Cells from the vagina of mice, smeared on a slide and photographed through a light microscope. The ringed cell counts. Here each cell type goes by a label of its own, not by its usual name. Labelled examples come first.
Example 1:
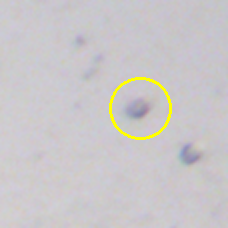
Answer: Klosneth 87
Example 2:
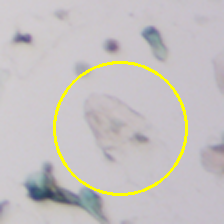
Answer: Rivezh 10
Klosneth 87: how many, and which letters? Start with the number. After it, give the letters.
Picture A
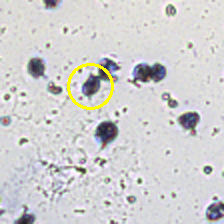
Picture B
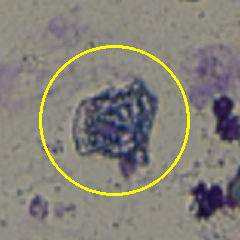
1: A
